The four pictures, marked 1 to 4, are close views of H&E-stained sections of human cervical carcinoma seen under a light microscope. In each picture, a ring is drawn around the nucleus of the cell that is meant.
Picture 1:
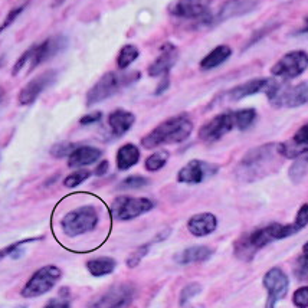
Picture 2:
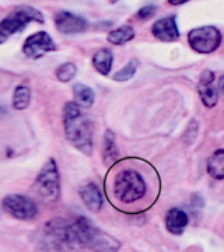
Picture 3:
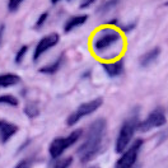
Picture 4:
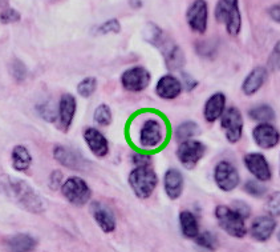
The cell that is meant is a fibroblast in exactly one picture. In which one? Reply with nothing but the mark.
3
